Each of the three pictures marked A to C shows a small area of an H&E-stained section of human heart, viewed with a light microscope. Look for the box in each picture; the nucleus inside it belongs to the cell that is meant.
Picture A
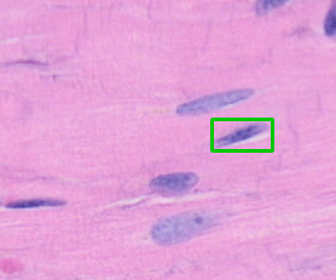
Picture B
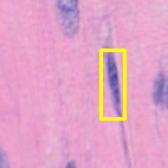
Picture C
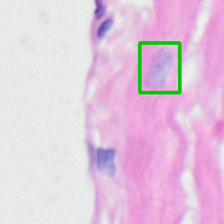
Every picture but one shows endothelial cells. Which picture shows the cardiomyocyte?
C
